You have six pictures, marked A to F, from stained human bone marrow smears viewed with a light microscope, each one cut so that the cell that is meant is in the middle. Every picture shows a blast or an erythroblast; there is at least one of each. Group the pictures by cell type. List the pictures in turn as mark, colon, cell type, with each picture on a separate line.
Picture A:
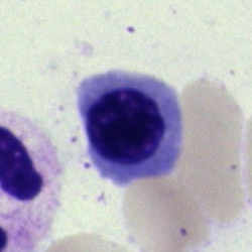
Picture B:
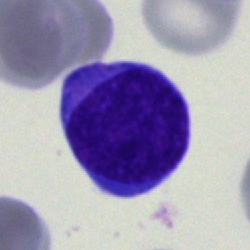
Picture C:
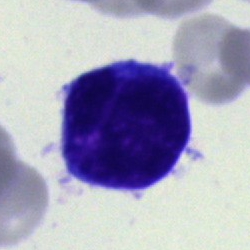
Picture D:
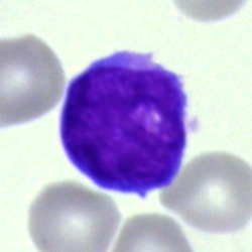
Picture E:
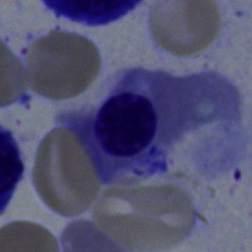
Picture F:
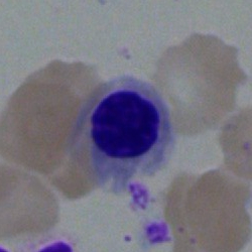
A: erythroblast
B: blast
C: blast
D: blast
E: erythroblast
F: erythroblast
